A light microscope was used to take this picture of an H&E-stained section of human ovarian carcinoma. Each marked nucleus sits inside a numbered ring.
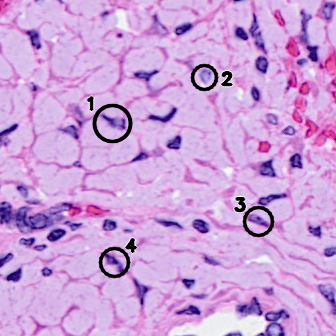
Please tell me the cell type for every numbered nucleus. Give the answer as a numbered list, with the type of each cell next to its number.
1. fibroblast
2. macrophage or monocyte
3. fibroblast
4. fibroblast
